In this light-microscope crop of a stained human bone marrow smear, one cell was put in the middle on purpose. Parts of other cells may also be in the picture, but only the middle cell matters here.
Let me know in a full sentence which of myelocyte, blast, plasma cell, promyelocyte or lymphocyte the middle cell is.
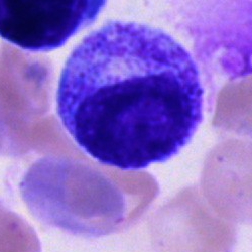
The centered cell in this crop is a myelocyte.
